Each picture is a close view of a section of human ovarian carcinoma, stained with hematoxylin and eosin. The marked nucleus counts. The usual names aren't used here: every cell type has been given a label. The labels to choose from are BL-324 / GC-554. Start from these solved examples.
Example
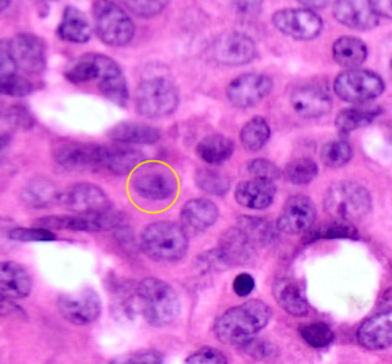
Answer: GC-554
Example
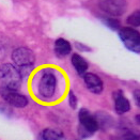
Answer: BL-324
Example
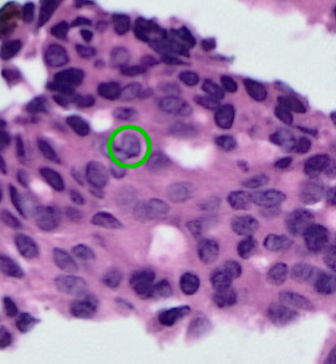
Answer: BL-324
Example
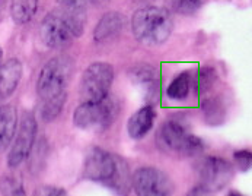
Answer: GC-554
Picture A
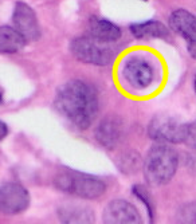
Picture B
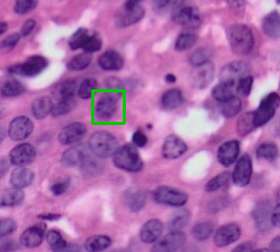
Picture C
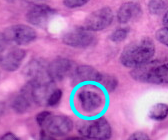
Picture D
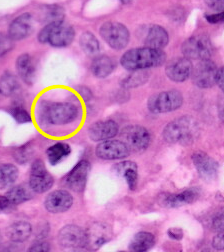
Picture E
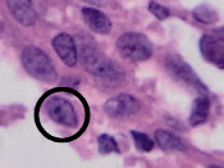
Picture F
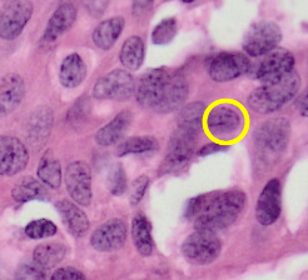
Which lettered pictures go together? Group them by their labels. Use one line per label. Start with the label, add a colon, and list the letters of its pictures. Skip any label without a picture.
BL-324: A, C, E
GC-554: B, D, F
